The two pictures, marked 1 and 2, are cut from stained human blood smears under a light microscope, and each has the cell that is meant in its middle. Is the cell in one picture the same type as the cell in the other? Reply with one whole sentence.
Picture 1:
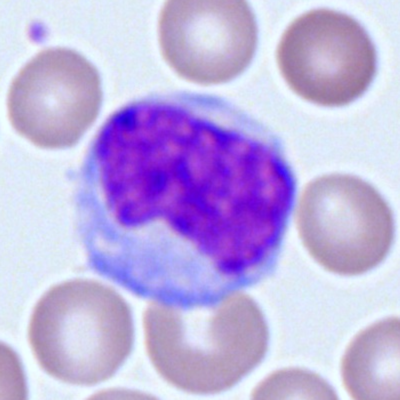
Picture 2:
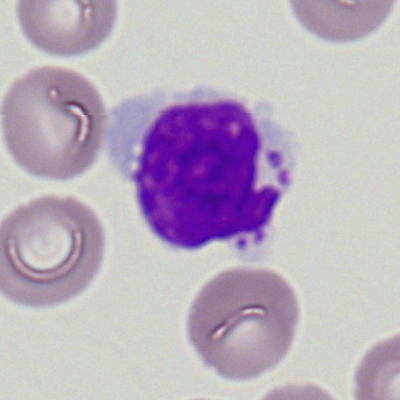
No, they differ: the cell is a monocyte in picture 1 and a lymphocyte in picture 2.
